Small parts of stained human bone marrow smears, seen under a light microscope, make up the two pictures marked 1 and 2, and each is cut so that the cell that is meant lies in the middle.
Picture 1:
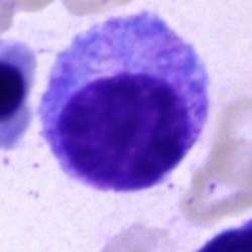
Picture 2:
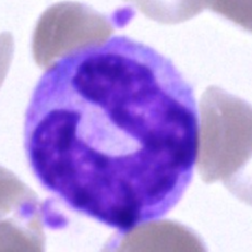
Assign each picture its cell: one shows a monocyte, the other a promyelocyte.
1: promyelocyte
2: monocyte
